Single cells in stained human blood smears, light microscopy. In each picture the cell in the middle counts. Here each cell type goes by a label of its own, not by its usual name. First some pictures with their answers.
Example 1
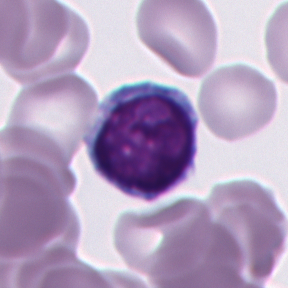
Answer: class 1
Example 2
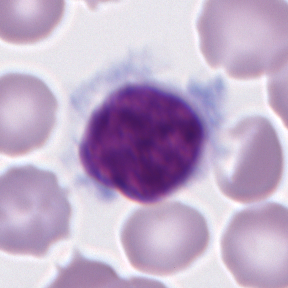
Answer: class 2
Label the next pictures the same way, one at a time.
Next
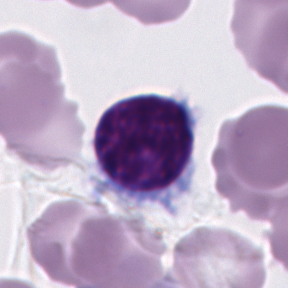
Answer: class 2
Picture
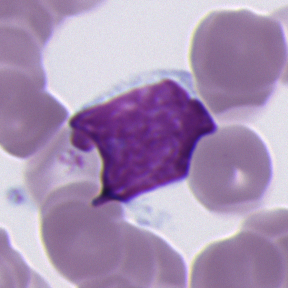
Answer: class 1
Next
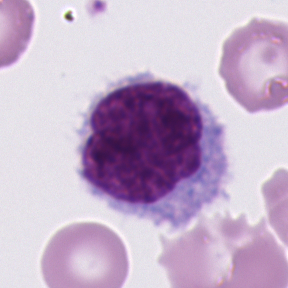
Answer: class 2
